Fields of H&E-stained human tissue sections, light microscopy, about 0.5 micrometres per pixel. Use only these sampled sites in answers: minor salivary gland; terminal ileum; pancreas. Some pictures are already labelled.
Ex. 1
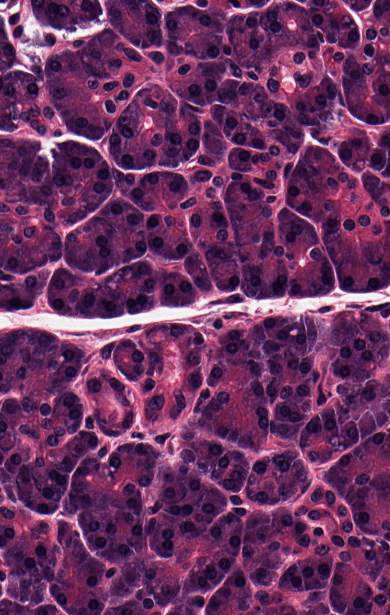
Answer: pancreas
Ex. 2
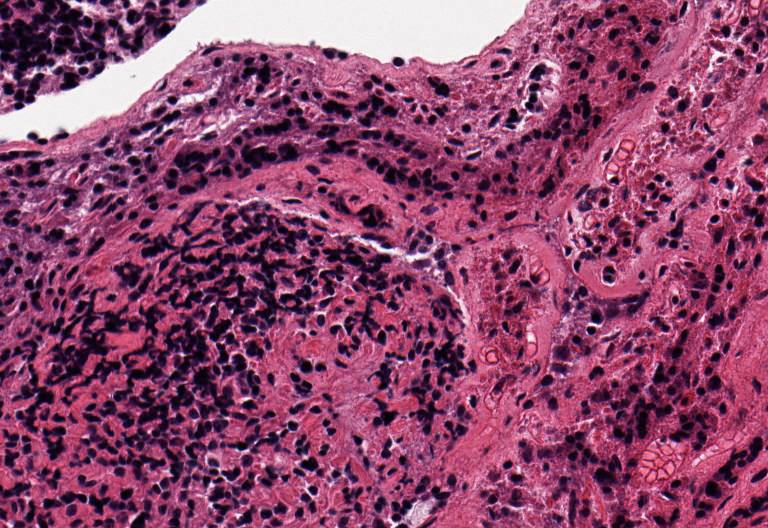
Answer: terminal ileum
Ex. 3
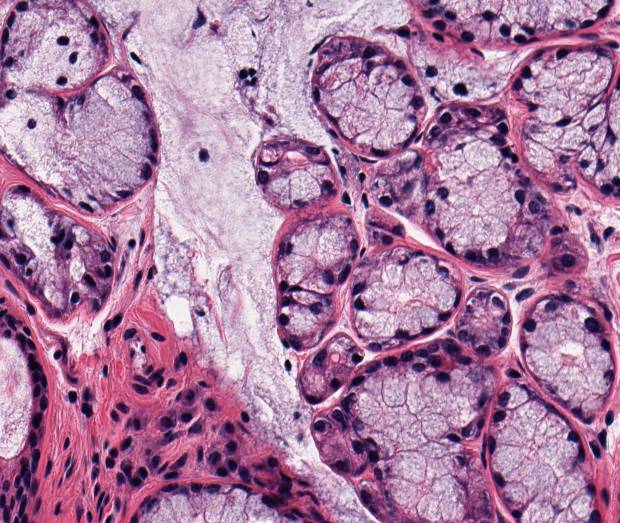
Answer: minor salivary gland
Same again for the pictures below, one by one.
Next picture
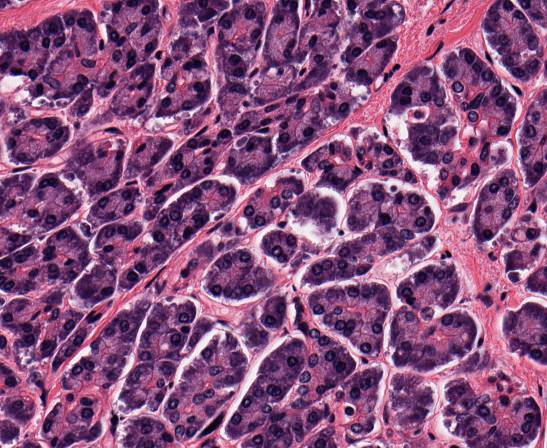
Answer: pancreas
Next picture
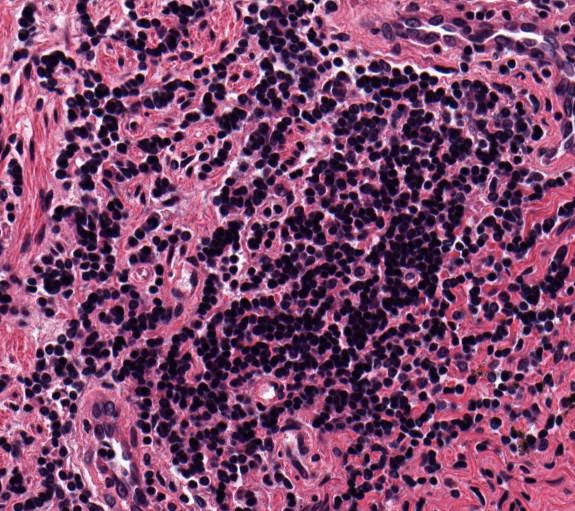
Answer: terminal ileum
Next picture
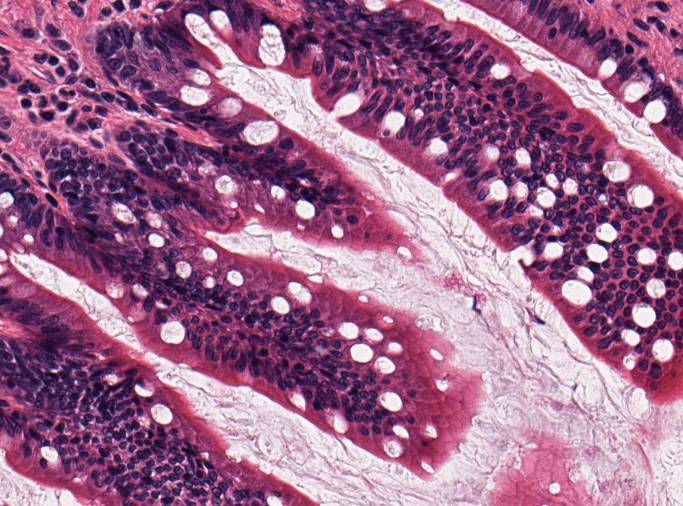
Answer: terminal ileum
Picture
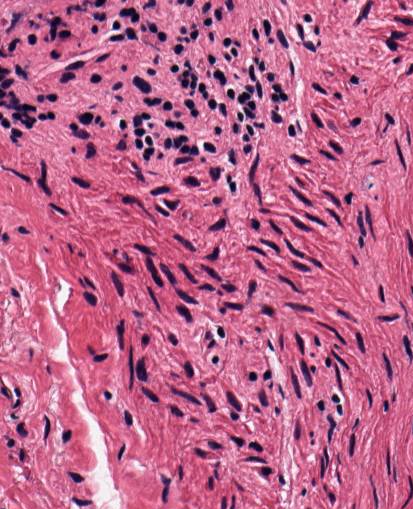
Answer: terminal ileum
